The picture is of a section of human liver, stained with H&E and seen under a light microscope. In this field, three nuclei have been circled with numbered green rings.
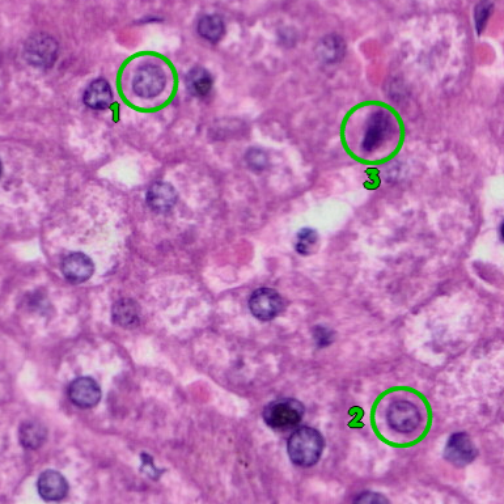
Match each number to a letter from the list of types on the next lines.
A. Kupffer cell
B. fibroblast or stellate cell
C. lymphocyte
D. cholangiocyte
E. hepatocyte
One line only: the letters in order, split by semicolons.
E; E; B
